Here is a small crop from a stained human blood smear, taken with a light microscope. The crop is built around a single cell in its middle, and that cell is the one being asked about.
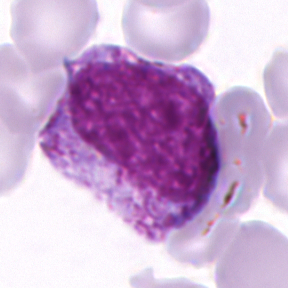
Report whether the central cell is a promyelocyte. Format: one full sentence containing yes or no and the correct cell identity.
Yes, as for the central cell, it is a promyelocyte.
